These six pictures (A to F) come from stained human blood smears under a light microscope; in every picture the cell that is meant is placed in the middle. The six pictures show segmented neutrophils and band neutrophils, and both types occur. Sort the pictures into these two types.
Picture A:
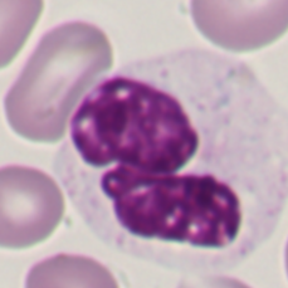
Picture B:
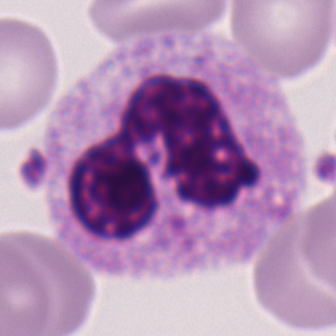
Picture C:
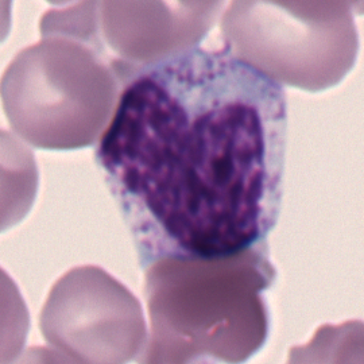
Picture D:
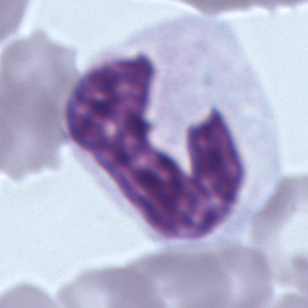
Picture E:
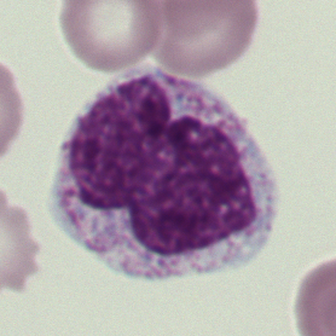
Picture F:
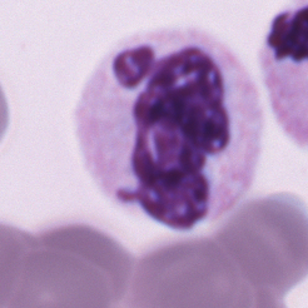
A: segmented neutrophil
B: segmented neutrophil
C: band neutrophil
D: band neutrophil
E: band neutrophil
F: segmented neutrophil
